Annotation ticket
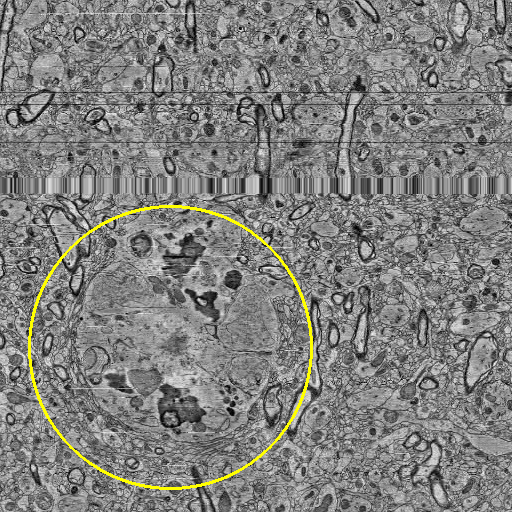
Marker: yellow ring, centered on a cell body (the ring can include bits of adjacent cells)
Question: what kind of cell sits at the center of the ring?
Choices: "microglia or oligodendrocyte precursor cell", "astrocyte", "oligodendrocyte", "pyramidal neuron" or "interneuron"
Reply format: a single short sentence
The ring is centered on an astrocyte.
